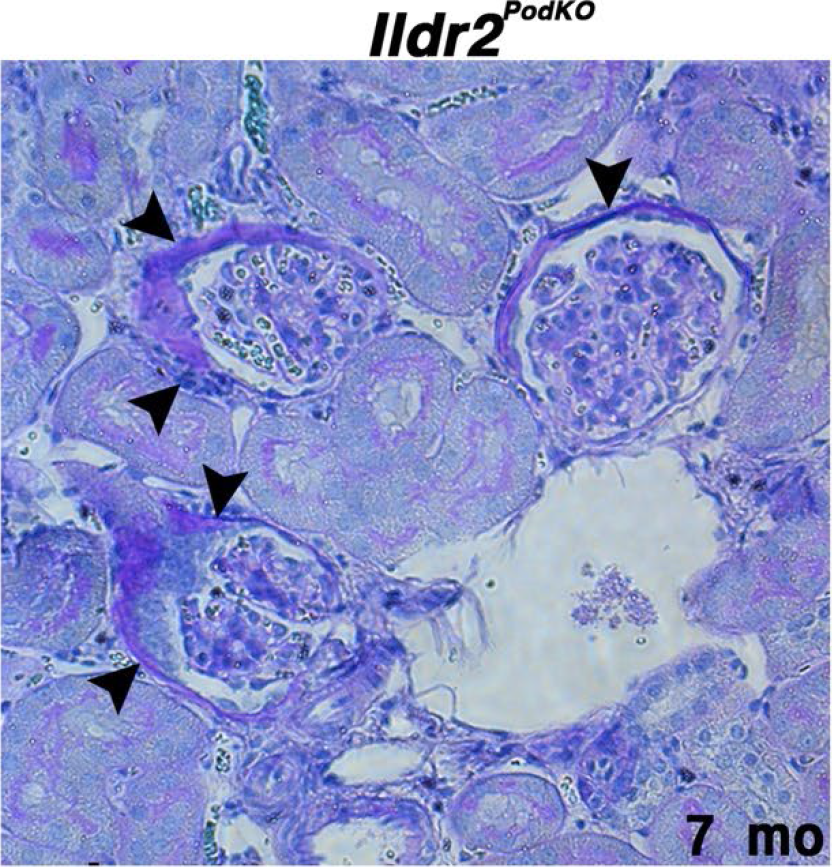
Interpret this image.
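Several round glomeruli sit among renal tubules, each a compact tuft of purple nuclei and capillary loops separated by a pale space from its enclosing capsule. Around these glomeruli the capsule is not a thin line but a broad band stained deep magenta, in places forming a thick crescent on one side. The thickened, strongly stained capsule marks increased material around Bowman's capsule and the urinary pole.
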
